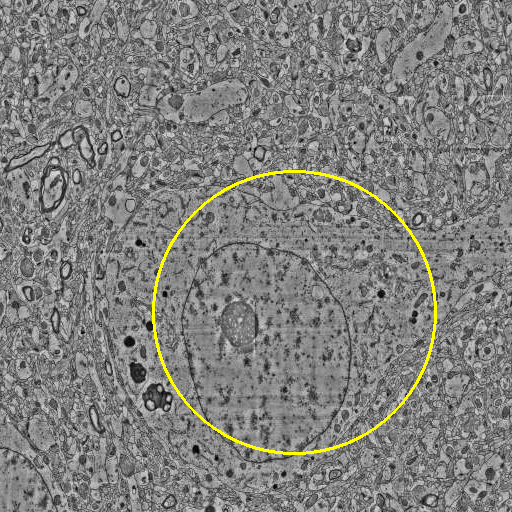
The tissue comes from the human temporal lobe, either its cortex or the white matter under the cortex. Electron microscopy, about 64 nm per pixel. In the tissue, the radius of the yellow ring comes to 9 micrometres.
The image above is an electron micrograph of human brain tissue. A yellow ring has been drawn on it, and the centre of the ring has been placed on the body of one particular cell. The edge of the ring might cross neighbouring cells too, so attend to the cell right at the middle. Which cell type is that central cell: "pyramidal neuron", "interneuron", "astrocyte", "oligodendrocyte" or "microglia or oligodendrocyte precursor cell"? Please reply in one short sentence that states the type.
The central cell in the ring is a pyramidal neuron.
